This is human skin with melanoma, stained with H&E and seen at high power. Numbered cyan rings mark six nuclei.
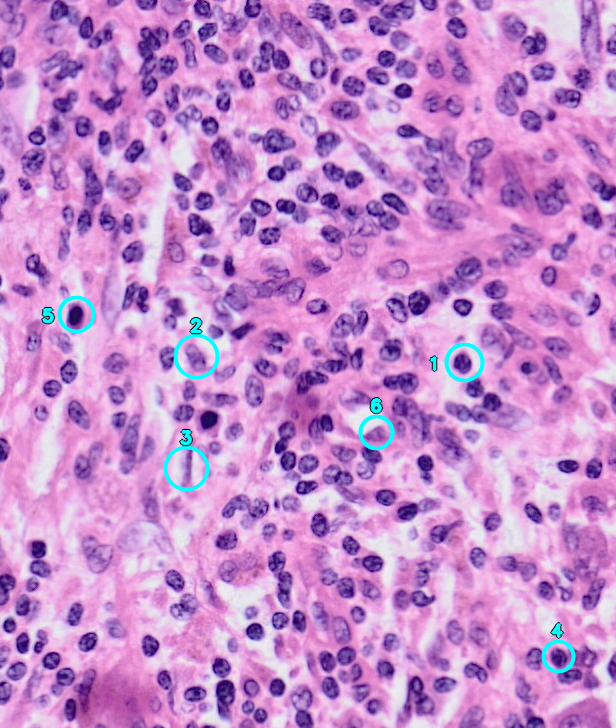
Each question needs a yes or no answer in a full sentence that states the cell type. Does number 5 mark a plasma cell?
Yes, in this section the cell numbered 5 is a plasma cell.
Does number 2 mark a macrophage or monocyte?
Yes, the nucleus numbered 2 belongs to a macrophage or monocyte.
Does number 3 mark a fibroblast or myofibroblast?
Yes, cell 3 among the marked cells is a fibroblast or myofibroblast.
